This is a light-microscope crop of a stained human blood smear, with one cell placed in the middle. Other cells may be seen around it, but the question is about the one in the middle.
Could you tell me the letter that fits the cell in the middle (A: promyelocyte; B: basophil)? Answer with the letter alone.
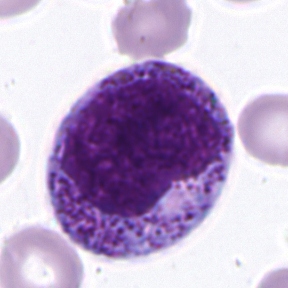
A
